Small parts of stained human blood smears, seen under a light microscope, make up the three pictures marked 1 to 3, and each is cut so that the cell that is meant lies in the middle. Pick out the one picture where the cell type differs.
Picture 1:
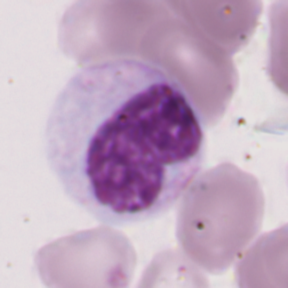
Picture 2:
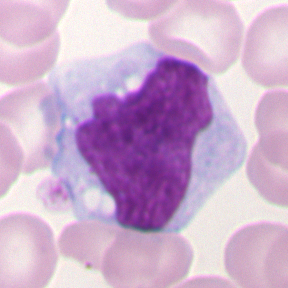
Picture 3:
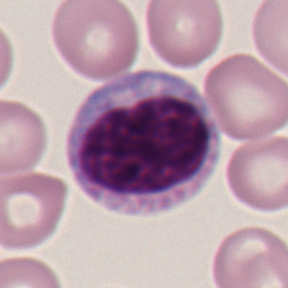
2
